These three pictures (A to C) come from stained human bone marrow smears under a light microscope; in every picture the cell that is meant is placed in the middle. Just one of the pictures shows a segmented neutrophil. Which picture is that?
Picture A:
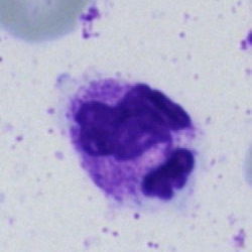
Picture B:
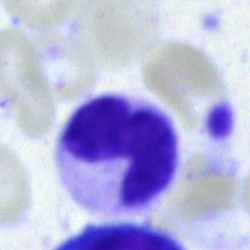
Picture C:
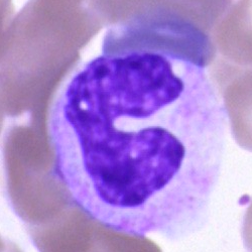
A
